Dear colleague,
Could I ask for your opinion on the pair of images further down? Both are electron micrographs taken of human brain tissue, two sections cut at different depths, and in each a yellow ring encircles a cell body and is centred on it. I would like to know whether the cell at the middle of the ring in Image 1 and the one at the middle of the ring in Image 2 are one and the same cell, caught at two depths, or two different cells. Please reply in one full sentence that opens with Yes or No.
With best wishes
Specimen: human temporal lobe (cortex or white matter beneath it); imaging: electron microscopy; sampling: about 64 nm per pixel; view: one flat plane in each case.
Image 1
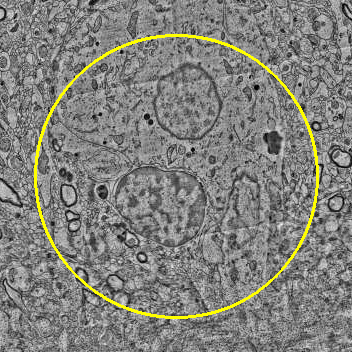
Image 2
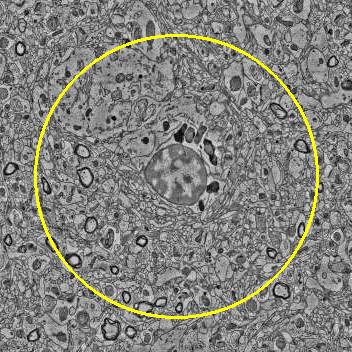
Yes, the same cell has been marked in both yellow rings.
